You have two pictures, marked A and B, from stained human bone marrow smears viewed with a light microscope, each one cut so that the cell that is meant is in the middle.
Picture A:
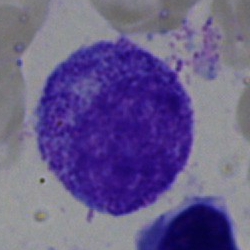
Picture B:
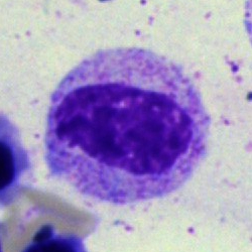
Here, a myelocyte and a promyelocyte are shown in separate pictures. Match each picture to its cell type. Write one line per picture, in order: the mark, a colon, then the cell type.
A: promyelocyte
B: myelocyte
